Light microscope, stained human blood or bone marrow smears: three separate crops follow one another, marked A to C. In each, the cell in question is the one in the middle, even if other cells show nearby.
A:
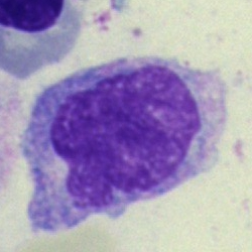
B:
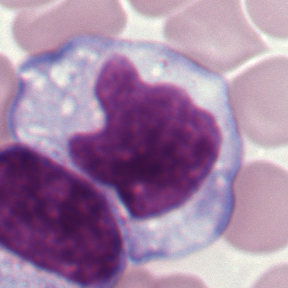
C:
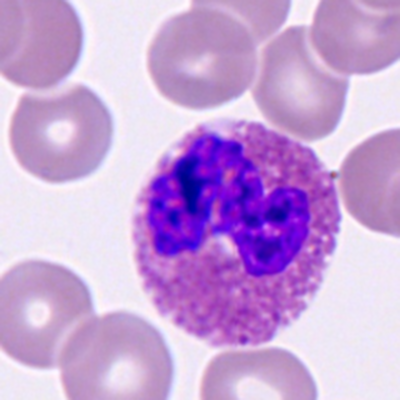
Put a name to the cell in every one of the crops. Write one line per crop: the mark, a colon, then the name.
A: monocyte
B: monocyte
C: eosinophil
